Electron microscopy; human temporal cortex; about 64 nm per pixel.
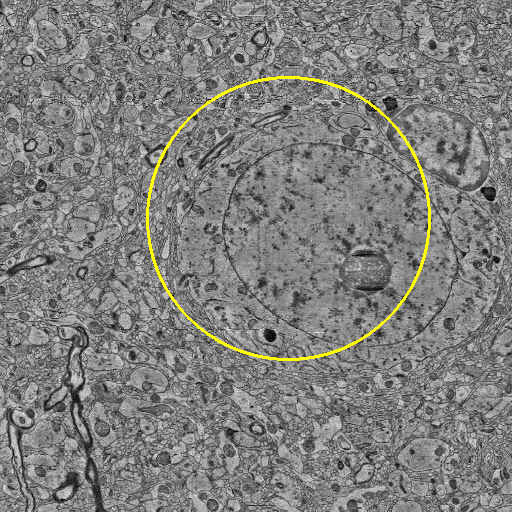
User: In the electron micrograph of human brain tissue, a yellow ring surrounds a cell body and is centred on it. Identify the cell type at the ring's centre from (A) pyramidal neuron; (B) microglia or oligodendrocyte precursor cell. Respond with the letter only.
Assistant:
A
